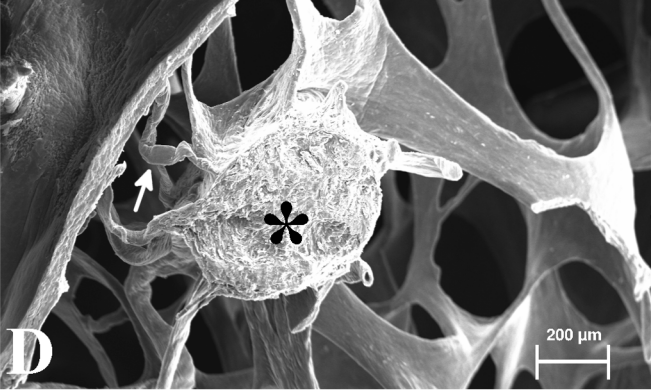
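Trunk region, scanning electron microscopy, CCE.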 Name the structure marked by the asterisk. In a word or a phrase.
Spine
